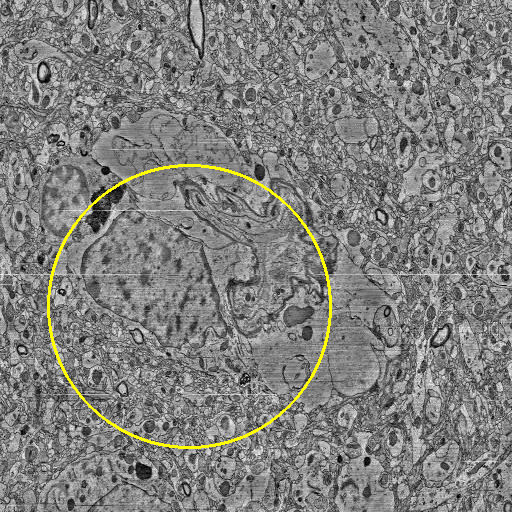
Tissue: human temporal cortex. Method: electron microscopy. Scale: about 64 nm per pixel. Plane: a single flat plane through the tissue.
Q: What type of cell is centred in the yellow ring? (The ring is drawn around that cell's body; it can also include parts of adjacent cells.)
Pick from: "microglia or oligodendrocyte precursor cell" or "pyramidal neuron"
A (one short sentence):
The yellow ring is centred on a microglial cell or oligodendrocyte precursor cell.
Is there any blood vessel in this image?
Yes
